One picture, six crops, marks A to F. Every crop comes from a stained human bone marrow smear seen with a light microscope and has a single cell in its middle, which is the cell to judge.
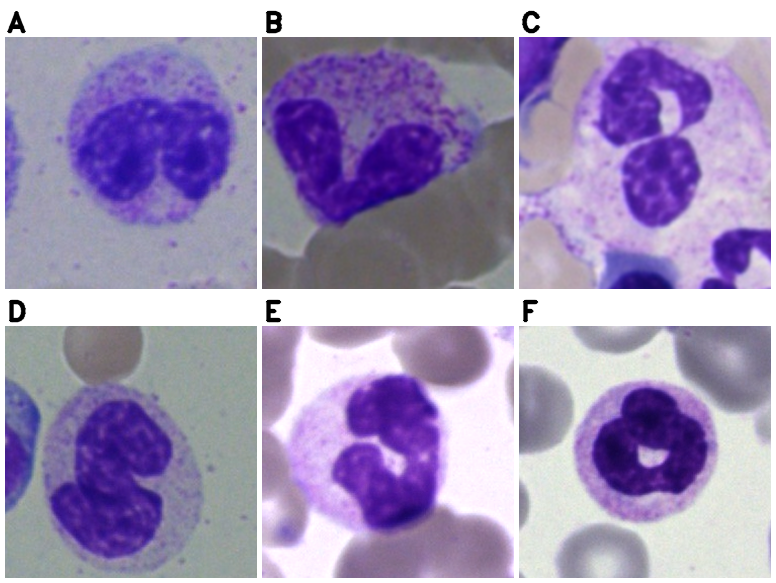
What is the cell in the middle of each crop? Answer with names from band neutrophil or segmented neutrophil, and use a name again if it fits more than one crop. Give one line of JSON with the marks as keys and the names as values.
{"A": "band neutrophil", "B": "band neutrophil", "C": "segmented neutrophil", "D": "band neutrophil", "E": "band neutrophil", "F": "segmented neutrophil"}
